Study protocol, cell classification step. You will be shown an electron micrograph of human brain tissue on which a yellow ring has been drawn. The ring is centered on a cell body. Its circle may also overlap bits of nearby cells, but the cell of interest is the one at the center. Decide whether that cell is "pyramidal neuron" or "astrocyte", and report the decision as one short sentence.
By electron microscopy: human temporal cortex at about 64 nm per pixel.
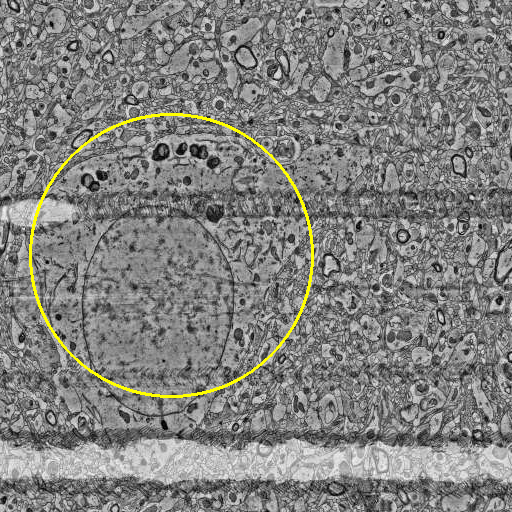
The marked cell is a pyramidal neuron.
